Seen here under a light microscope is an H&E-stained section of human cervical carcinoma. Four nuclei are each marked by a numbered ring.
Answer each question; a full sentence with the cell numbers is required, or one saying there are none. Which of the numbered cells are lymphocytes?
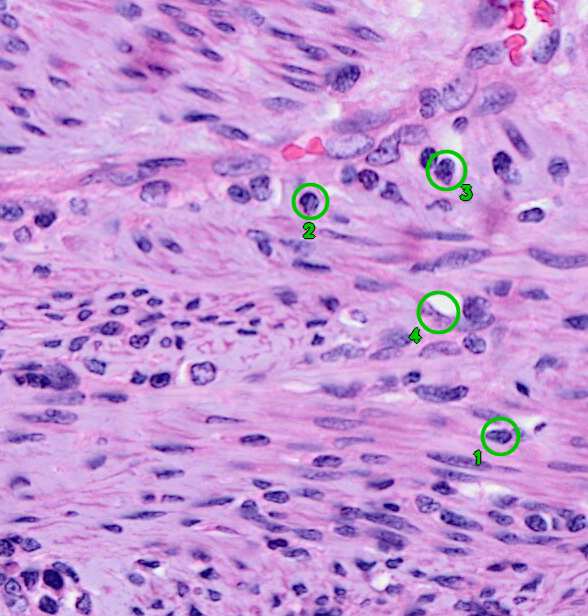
The cells that have been numbered 1, 2 and 3 are lymphocytes.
